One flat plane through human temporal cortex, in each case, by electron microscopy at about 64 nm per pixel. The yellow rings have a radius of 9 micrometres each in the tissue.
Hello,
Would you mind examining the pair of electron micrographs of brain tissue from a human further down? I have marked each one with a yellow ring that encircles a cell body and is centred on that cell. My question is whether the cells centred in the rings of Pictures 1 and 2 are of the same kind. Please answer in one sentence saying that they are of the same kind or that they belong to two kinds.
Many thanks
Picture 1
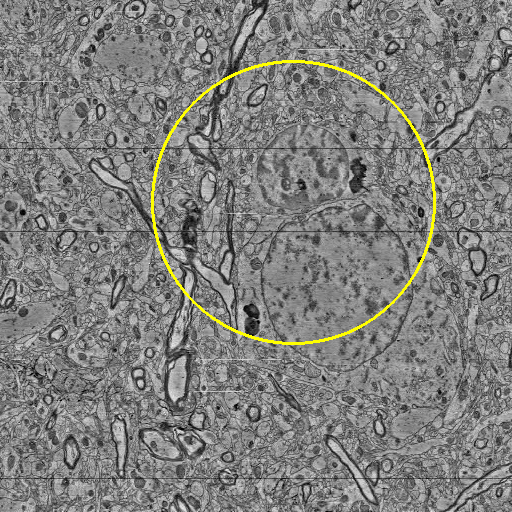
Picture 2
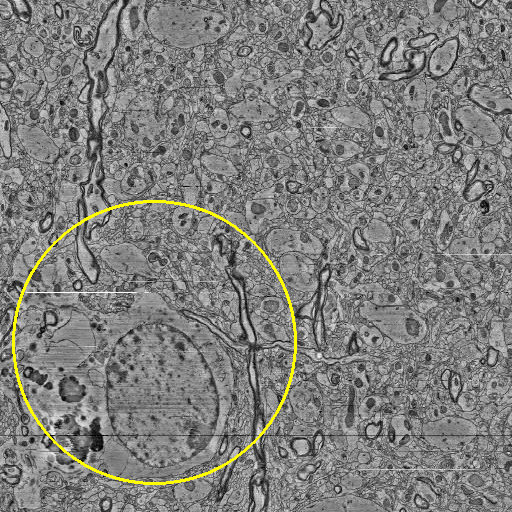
In Pictures 1 and 2, the cells at the heart of the rings belong to two kinds.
